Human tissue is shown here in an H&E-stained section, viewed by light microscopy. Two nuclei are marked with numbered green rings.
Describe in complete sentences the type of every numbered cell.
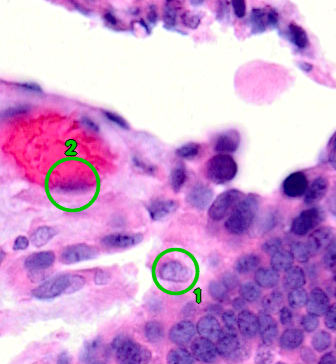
Cell 1 is a fibroblast. Cell 2 is an endothelial cell.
